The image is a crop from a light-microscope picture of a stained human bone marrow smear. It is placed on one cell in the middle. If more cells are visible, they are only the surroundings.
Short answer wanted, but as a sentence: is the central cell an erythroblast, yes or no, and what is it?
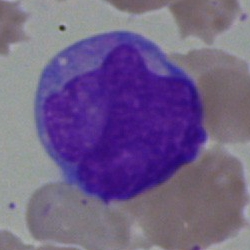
No, it is a blast and not an erythroblast that occupies the middle of the crop.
